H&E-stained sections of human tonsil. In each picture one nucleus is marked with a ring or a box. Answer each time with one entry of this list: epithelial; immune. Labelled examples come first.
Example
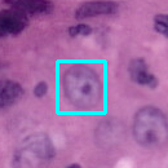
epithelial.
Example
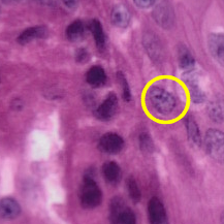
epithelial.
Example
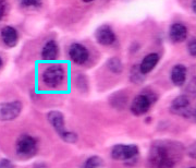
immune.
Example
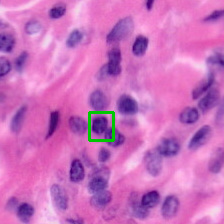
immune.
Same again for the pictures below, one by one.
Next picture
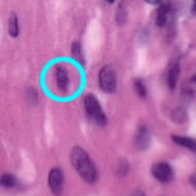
epithelial.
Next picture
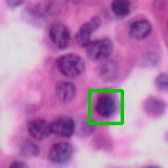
immune.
